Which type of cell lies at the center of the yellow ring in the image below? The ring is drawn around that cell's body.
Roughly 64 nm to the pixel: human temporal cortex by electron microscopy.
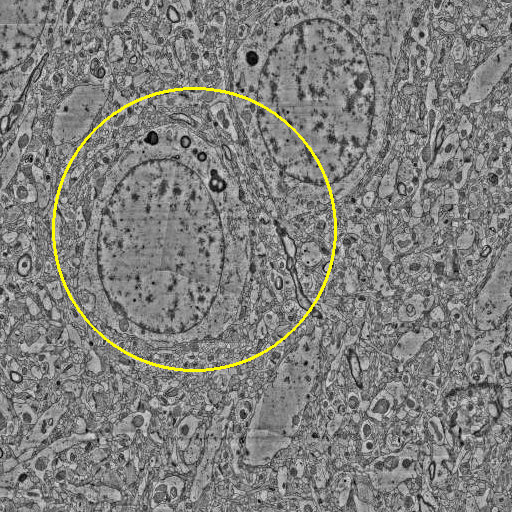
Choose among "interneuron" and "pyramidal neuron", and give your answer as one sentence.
The cell body at the center belongs to a pyramidal neuron.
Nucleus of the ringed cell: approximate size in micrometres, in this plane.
Approximately 11 micrometres long and 8 micrometres wide, in this plane.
